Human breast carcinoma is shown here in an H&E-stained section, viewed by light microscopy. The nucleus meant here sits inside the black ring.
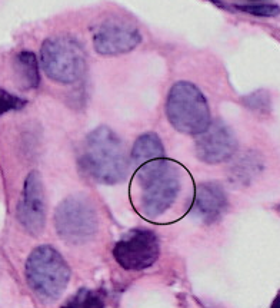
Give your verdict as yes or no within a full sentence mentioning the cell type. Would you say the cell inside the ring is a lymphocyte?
No, a lymphocyte is not what the cell inside the ring is; it is a carcinoma cell.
